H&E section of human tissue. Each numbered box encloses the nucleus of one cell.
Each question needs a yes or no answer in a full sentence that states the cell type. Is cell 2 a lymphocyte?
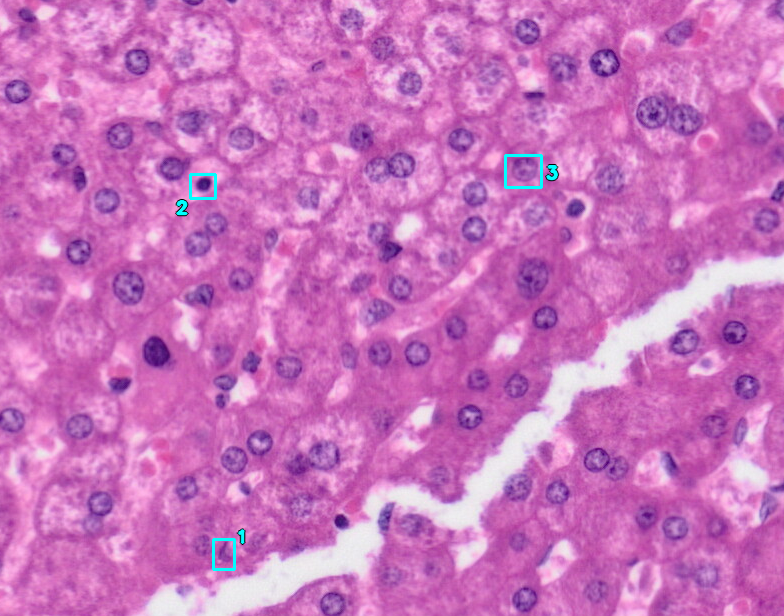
Yes, the marked cell numbered 2 is a lymphocyte.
